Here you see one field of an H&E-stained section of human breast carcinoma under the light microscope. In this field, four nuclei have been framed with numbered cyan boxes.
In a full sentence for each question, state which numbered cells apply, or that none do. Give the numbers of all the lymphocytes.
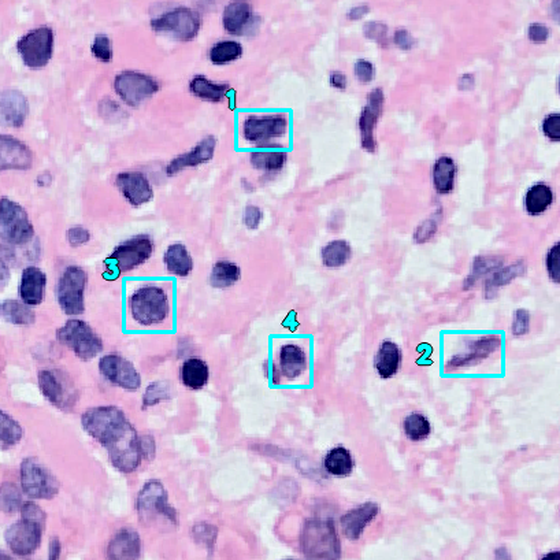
Cells 1, 3 and 4 are lymphocytes by cell type.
